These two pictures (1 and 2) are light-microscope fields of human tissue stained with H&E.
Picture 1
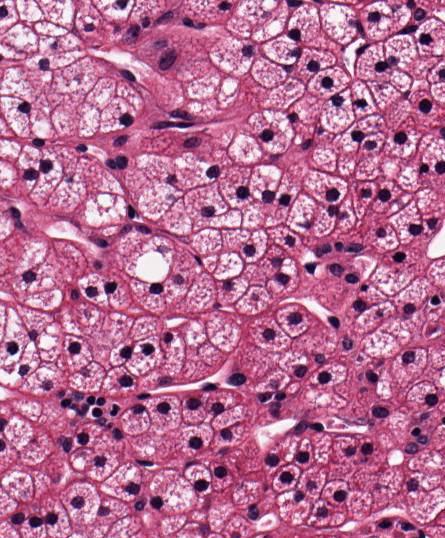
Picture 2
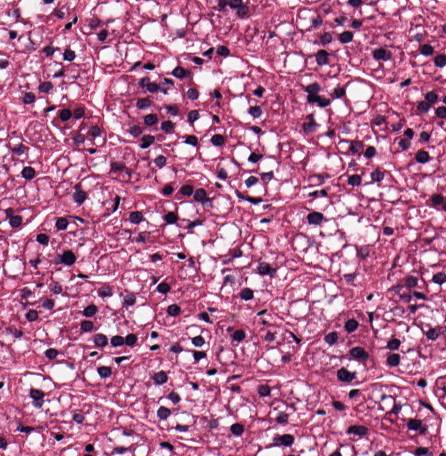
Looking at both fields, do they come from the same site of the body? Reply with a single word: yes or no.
yes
